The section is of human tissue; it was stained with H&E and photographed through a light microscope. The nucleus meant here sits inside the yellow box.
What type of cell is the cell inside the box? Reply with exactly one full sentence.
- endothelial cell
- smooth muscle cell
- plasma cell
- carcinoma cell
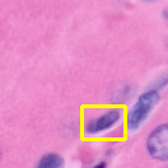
As to its cell type, the cell inside the box is an endothelial cell.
